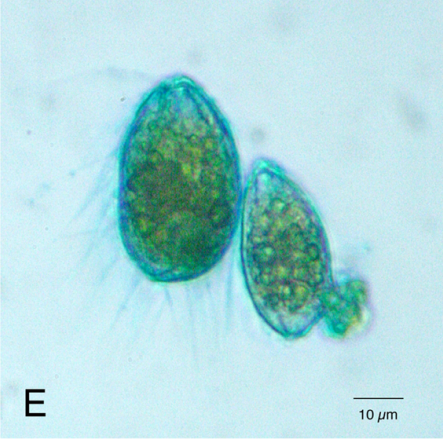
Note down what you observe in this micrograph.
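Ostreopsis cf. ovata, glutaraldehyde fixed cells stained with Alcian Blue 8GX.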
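Two oval dinoflagellate cells lie side by side, their outlines and peripheral cytoplasm stained blue-green. The larger cell is filled with granular greenish cytoplasm and has a distinct darker contour, and fine pale blue threads radiate out from its surface into the background. The staining is strongest at the rims, with the centres appearing more greenish than blue.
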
